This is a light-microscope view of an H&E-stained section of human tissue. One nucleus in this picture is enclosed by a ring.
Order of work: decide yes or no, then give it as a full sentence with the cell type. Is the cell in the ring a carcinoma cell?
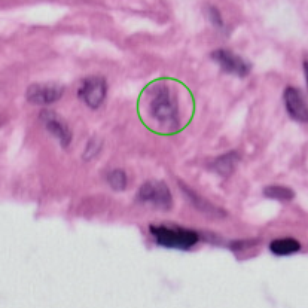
No, the cell in the ring is not a carcinoma cell but a fibroblast.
